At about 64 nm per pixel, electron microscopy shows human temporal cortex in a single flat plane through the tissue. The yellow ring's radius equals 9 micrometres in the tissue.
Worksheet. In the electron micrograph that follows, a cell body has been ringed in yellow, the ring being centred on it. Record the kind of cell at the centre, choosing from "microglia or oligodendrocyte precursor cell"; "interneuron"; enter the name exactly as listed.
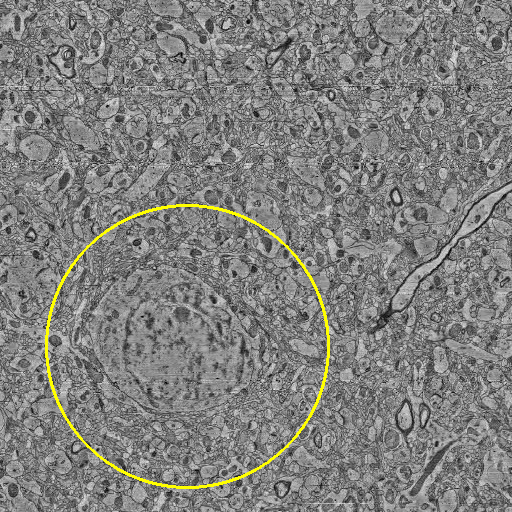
interneuron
